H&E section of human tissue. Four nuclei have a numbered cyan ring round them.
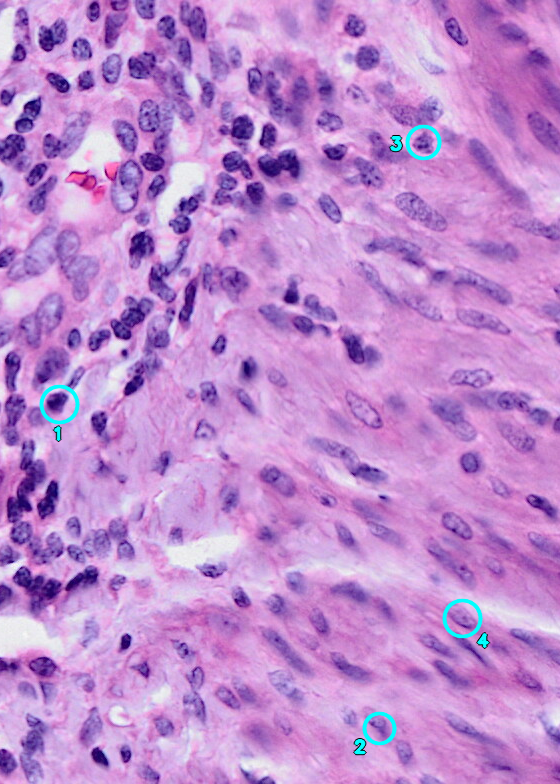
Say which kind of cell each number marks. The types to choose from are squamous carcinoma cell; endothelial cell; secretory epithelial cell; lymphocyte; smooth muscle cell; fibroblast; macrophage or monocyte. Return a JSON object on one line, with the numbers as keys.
{"1": "lymphocyte", "2": "smooth muscle cell", "3": "lymphocyte", "4": "smooth muscle cell"}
